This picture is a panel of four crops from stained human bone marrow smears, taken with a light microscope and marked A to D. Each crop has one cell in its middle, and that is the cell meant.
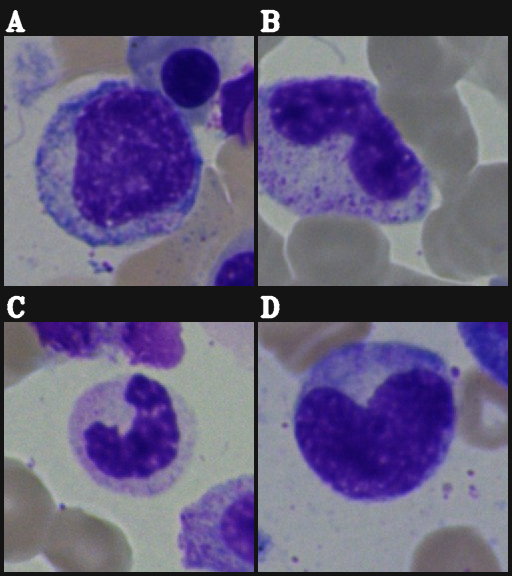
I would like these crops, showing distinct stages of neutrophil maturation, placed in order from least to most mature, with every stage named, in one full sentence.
From least to most mature, the sequence is given by crop A (a myelocyte), crop D (a metamyelocyte), crop B (a band neutrophil) and crop C (a segmented neutrophil).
